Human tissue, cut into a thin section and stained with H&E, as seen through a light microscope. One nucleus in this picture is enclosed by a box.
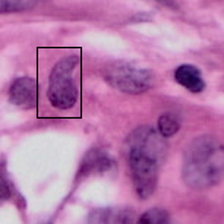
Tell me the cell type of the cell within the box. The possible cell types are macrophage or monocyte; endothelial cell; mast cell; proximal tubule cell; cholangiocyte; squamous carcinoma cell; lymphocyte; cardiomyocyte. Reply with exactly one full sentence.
Typologically, the cell within the box is a macrophage or monocyte in this section.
